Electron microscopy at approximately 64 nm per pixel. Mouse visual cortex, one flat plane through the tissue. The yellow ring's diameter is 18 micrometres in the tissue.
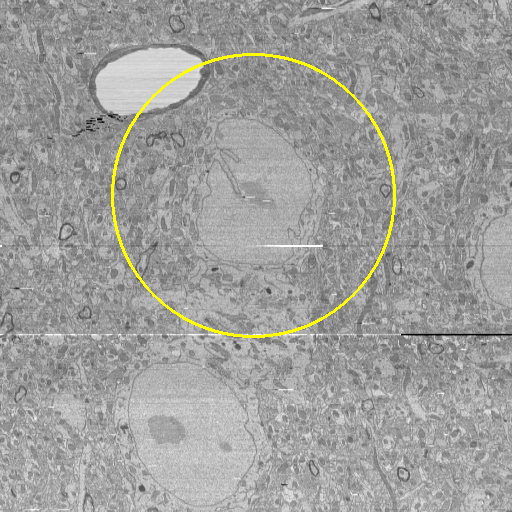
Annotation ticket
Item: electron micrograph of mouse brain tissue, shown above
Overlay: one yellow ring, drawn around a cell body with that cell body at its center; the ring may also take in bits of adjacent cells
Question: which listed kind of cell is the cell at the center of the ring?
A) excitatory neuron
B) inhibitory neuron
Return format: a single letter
B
